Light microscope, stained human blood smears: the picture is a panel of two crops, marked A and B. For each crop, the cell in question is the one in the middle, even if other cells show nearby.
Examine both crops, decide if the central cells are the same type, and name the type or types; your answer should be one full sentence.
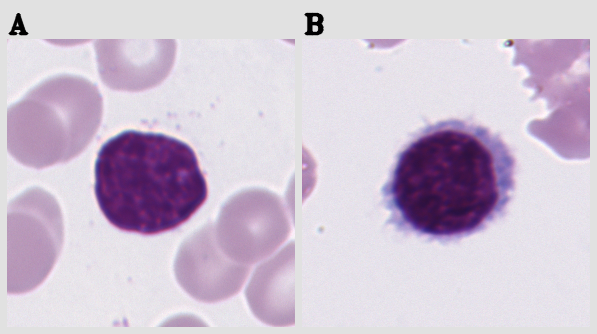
No, whereas crop A shows a smudge cell, crop B shows a hairy cell.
